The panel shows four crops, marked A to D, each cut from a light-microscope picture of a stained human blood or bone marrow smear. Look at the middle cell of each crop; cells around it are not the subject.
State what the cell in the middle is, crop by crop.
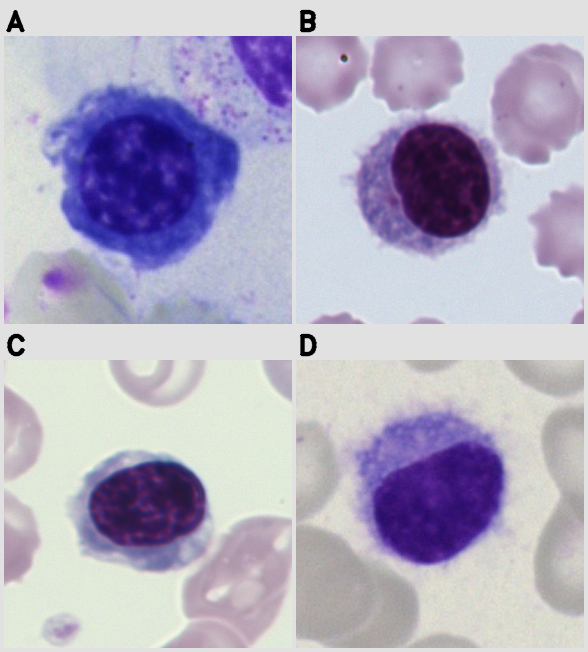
A: erythroblast
B: hairy cell
C: erythroblast
D: hairy cell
